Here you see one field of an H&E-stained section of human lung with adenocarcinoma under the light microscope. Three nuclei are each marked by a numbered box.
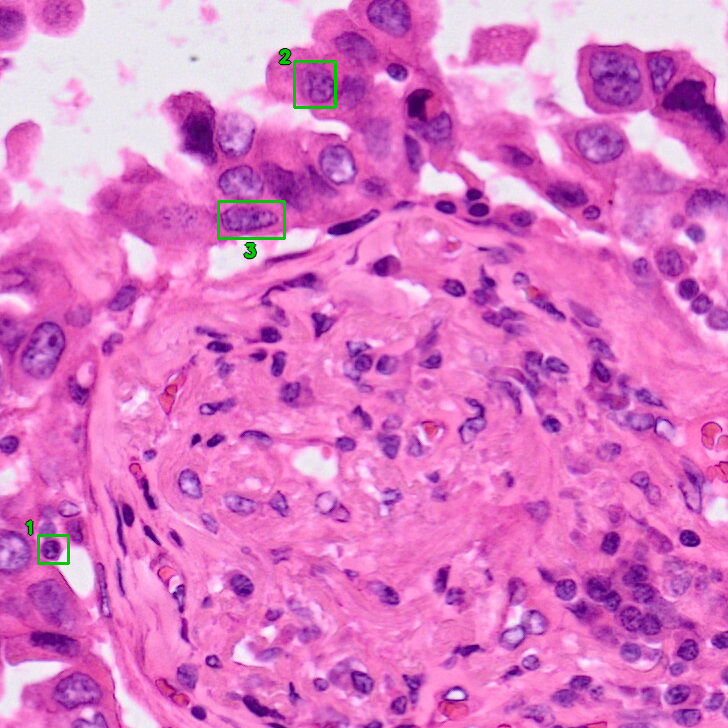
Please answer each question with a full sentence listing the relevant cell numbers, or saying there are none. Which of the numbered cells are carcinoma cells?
The cells picked out by numbers 2 and 3 are carcinoma cells.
